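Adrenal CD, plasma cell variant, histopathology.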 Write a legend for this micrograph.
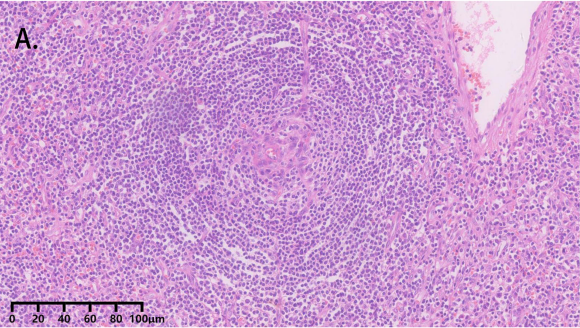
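A lymphoid follicle with a small atretic germinal center that is traversed by a pink, hyalinized penetrating vessel, giving a lollipop appearance. The germinal center is surrounded by a thick mantle zone of small, dark lymphocytes arranged in concentric layers. Outside the follicle the interfollicular area holds sheets of cells with more pink cytoplasm among small vessels.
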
